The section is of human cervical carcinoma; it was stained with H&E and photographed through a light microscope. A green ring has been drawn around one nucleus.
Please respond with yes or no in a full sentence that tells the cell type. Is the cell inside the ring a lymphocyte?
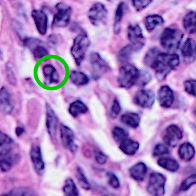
Yes, the cell inside the ring is to be classified as a lymphocyte.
